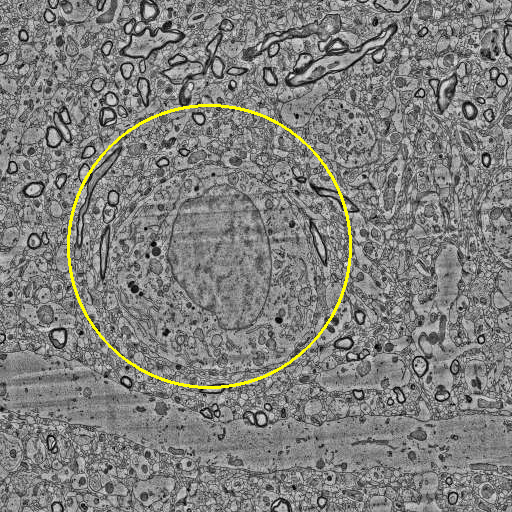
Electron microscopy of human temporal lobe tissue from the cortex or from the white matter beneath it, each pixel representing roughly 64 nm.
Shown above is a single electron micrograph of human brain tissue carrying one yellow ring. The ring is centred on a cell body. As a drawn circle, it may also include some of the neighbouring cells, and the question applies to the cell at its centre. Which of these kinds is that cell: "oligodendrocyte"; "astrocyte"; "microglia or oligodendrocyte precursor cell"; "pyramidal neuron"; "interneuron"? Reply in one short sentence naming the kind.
The cell marked by the ring is an interneuron.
